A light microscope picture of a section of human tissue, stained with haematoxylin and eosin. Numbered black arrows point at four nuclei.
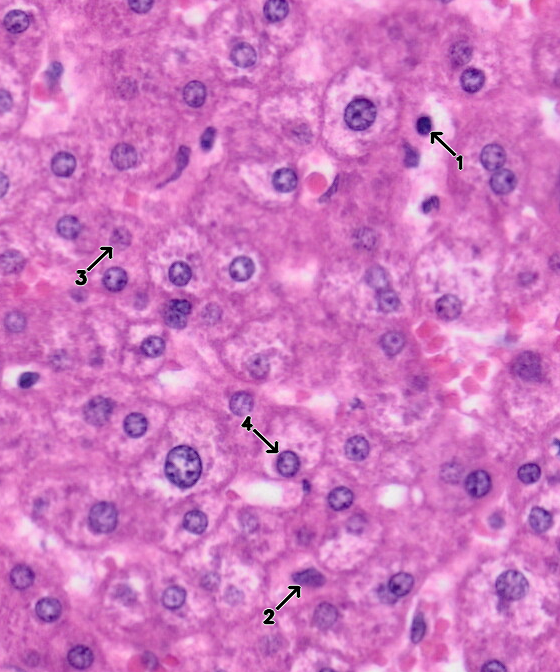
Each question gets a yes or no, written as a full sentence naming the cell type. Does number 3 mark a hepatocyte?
Yes, the cell bearing the number 3 is a hepatocyte.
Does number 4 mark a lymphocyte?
No, as for cell 4, it is a hepatocyte and not a lymphocyte.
